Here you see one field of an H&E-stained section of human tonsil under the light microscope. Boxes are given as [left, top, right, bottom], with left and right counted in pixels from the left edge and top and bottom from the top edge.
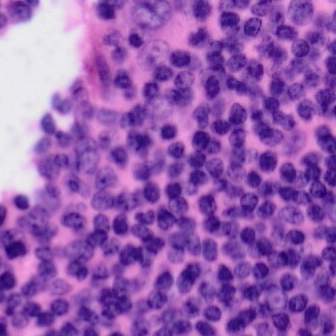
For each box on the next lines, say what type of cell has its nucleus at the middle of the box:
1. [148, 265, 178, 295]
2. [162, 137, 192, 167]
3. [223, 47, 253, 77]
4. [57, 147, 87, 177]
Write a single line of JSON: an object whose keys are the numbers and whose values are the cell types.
{"1": "small lymphocyte", "2": "small lymphocyte", "3": "small lymphocyte", "4": "proliferating B cell"}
